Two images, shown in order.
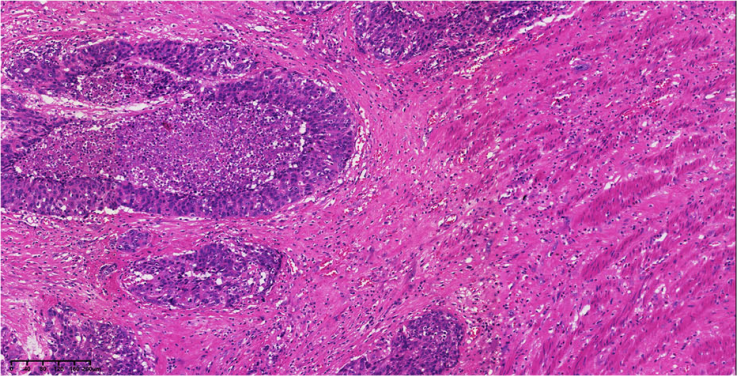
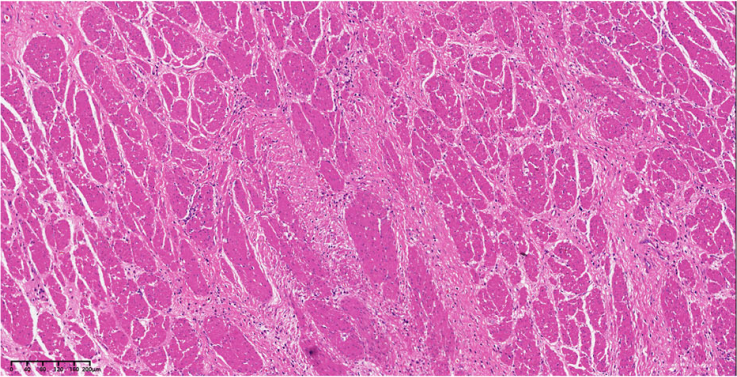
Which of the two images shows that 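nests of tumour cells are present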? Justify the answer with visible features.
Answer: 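The first image. First image: large dark purple nests of crowded epithelial cells sit in the stroma. Second image: only pink muscle bundles and fibrous tissue, with no dark cell nests.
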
